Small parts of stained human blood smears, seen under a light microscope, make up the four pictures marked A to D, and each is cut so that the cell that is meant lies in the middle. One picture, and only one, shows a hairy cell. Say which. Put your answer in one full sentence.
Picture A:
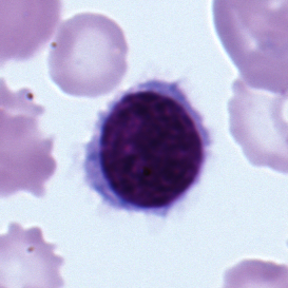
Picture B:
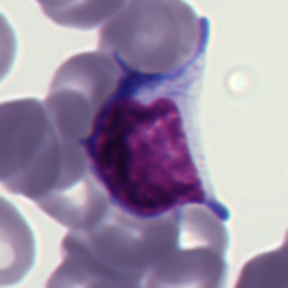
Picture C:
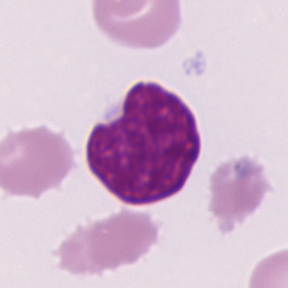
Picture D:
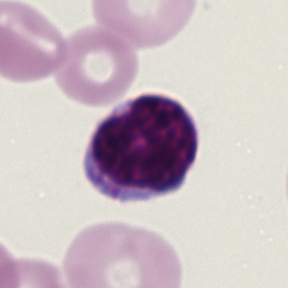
Picture A is the one that shows the hairy cell.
